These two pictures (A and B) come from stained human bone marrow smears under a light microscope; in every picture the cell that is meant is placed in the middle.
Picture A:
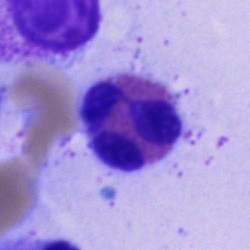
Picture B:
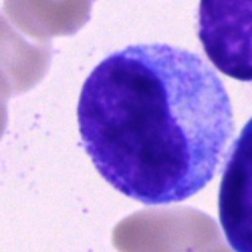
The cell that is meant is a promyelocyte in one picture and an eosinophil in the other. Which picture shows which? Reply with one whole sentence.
It is picture A that shows an eosinophil, and picture B that shows a promyelocyte.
